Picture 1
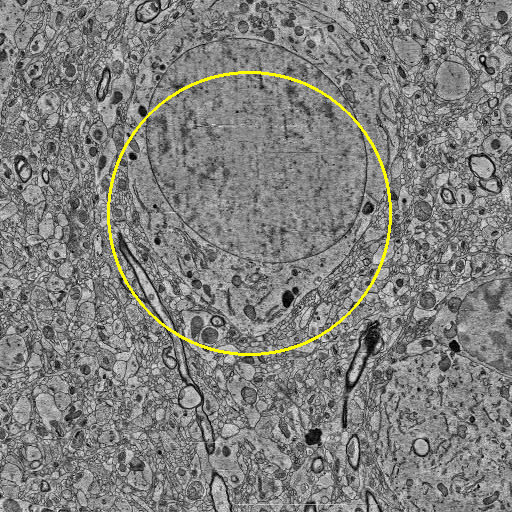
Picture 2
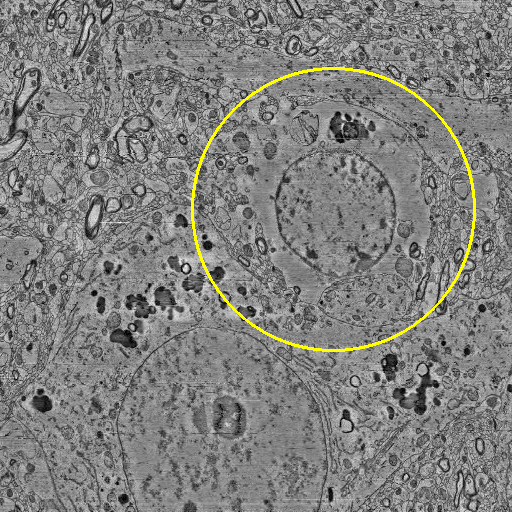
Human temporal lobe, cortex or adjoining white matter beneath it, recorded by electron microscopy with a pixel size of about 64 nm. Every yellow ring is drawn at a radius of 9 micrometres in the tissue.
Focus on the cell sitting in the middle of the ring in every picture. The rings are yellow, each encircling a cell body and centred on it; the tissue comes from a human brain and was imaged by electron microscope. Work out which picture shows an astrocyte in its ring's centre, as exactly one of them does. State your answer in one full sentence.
In picture 2, the ring is centred on the cell in question.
